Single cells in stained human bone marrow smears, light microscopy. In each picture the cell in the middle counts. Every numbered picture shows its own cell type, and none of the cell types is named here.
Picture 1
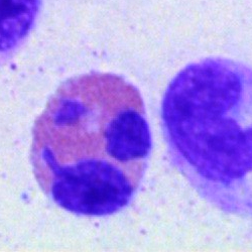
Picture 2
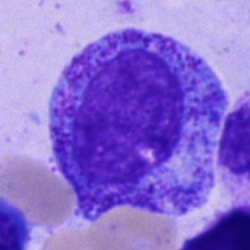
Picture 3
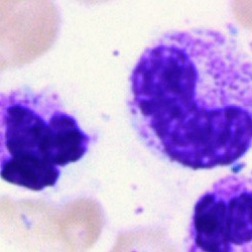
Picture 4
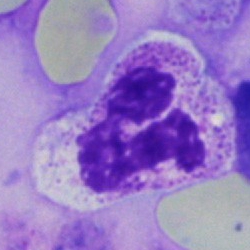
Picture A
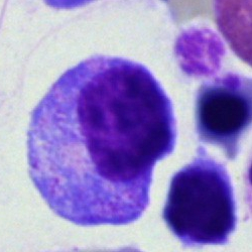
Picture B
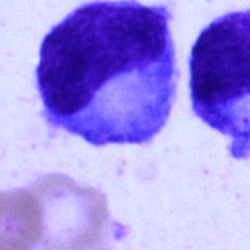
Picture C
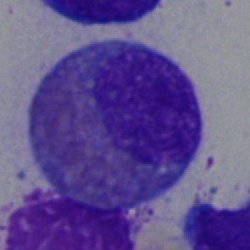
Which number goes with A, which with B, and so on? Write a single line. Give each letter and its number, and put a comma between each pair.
A 2, B 2, C 1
